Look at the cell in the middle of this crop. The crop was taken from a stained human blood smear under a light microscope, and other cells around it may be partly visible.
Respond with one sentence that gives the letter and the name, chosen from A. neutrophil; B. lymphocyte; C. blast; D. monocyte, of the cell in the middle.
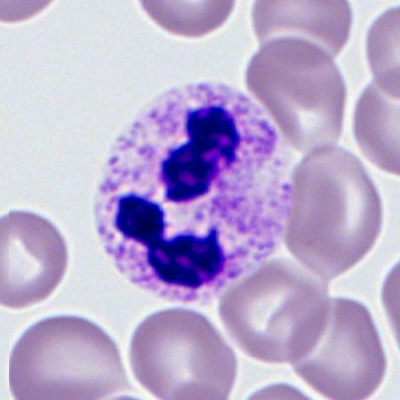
That middle cell is a neutrophil, and option A is therefore correct.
